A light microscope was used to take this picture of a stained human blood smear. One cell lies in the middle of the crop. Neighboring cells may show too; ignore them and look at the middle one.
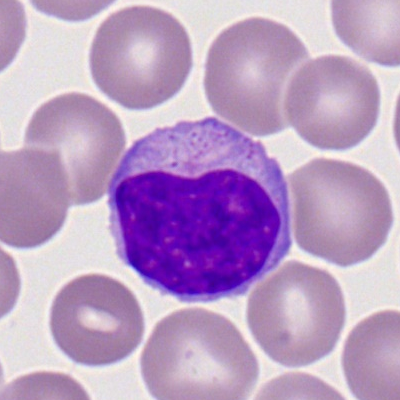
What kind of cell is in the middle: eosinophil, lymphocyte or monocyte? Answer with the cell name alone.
lymphocyte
